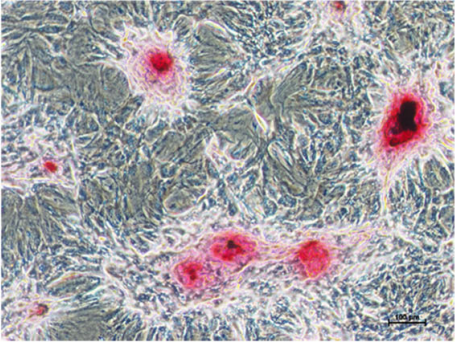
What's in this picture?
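A confluent sheet of elongated, spindle-shaped cells lies in swirling arrays, broken by several compact nodules stained bright red. Some nodules have dark, almost black dense centres, and the surrounding cells radiate outward from them in a pale halo.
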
